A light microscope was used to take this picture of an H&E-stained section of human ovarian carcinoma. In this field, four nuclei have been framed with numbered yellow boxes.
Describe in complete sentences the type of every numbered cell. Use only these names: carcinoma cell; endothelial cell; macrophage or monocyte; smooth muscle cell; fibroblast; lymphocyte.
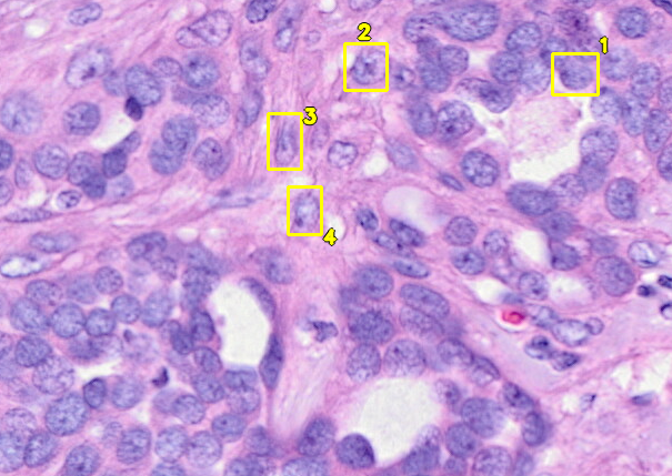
Cell 1 is a carcinoma cell. Cells 2, 3 and 4 are fibroblasts.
